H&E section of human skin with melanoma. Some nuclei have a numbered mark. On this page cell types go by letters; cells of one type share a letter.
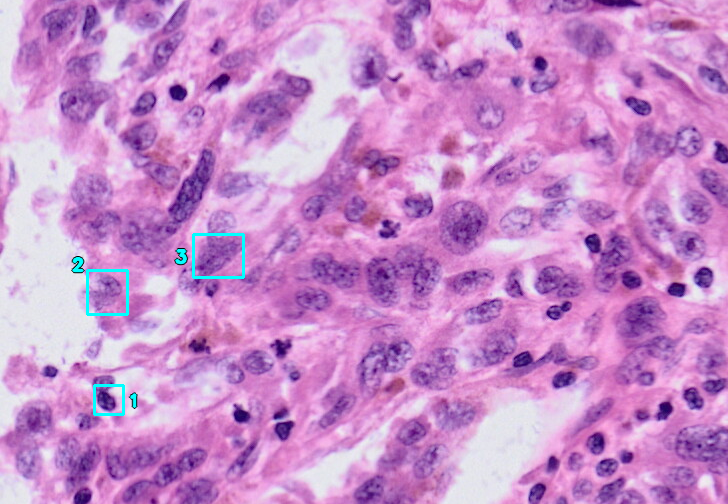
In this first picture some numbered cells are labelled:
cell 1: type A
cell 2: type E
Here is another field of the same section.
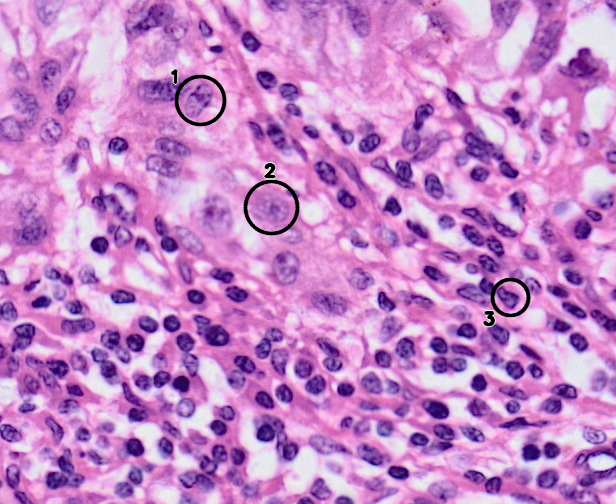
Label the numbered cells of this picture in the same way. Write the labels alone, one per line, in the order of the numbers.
type E
type E
type A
